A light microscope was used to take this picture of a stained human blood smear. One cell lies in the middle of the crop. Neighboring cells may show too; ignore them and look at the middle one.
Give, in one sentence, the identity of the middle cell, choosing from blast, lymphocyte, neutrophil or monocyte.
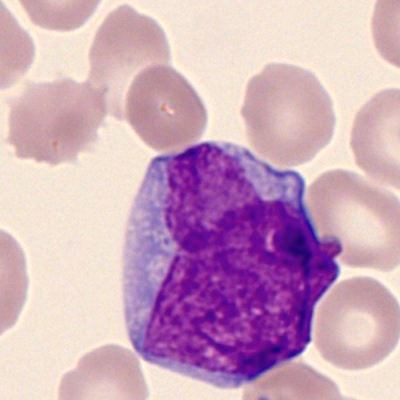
The centrally placed cell is classified as a blast.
